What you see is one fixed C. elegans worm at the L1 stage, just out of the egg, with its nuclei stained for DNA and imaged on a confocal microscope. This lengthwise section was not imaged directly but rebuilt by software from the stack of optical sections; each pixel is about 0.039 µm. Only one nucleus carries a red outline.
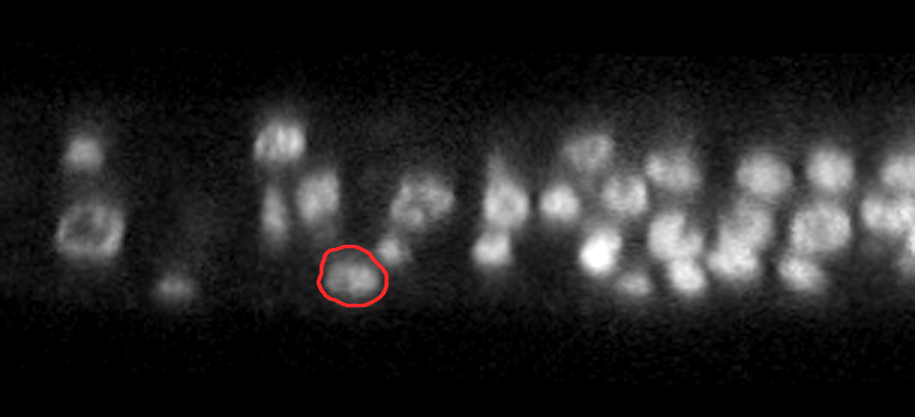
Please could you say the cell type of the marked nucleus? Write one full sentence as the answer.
It is the nucleus of a glial cell (sheath or socket).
